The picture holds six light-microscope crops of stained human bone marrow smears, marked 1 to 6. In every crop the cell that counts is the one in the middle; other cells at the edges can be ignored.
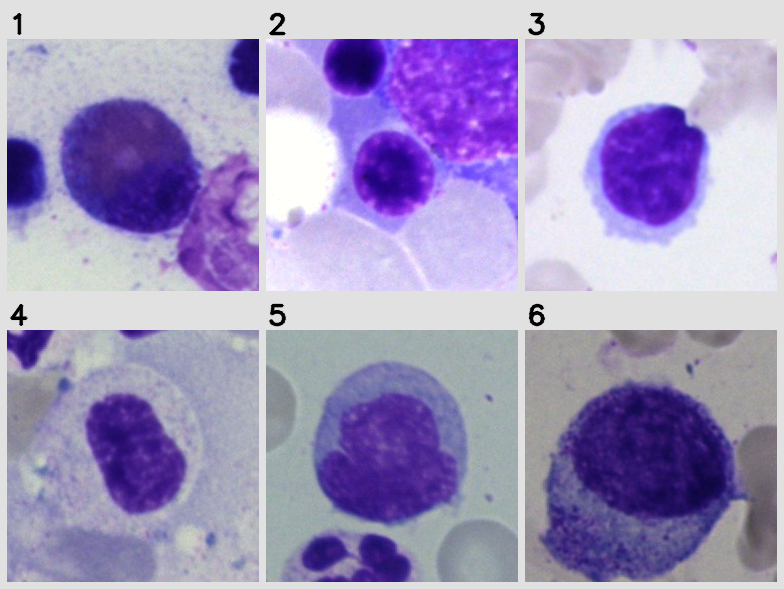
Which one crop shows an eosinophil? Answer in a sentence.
As for which crop shows an eosinophil, it is crop 1.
